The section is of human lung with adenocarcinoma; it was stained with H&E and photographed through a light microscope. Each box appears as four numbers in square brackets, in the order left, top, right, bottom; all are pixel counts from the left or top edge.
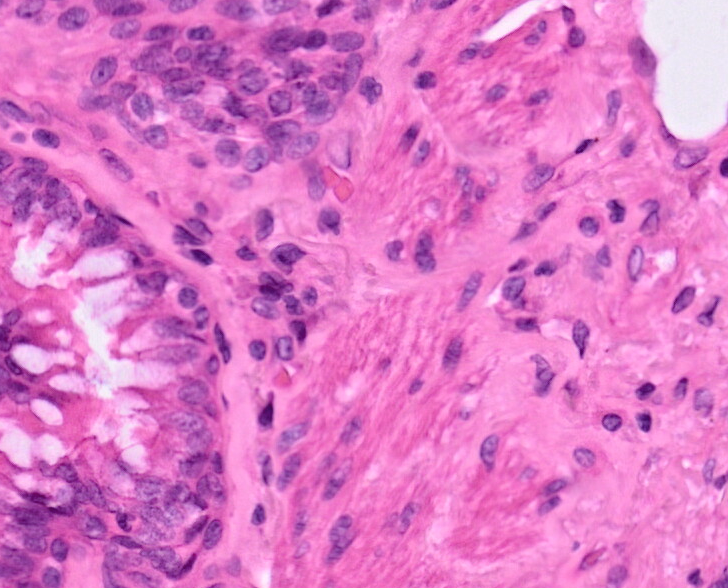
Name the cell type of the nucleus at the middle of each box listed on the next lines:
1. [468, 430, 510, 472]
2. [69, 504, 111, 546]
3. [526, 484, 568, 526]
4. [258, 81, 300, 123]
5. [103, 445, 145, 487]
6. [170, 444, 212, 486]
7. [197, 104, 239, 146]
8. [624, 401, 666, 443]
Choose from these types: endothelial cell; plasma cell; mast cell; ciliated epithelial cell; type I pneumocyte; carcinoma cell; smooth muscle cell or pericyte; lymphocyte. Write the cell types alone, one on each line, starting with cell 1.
smooth muscle cell or pericyte
ciliated epithelial cell
smooth muscle cell or pericyte
ciliated epithelial cell
ciliated epithelial cell
ciliated epithelial cell
ciliated epithelial cell
lymphocyte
